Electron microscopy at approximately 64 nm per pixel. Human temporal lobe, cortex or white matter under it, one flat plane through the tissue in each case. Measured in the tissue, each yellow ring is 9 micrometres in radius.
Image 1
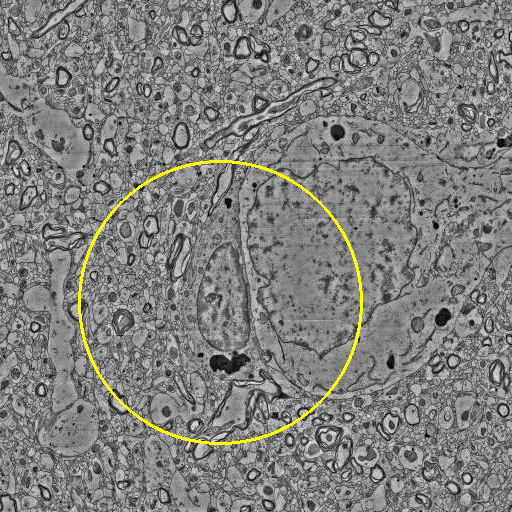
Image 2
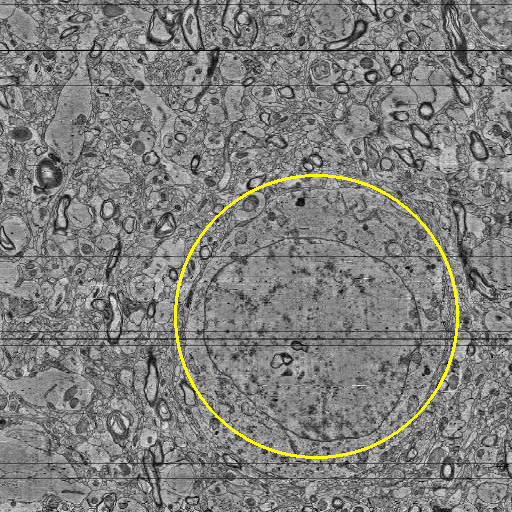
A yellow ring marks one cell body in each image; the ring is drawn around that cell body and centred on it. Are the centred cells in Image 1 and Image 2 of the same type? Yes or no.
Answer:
no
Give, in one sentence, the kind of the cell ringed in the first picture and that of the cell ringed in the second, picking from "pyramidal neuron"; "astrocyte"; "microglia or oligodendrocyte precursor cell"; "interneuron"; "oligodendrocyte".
For the first picture it is an oligodendrocyte; for the second, a pyramidal neuron.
